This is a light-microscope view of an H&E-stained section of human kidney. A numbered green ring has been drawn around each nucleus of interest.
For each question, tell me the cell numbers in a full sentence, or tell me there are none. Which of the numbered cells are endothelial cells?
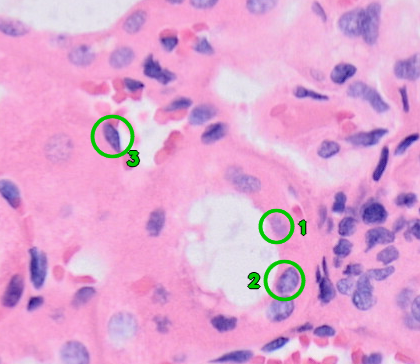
Of all the numbered cells, only cell 3 is an endothelial cell.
